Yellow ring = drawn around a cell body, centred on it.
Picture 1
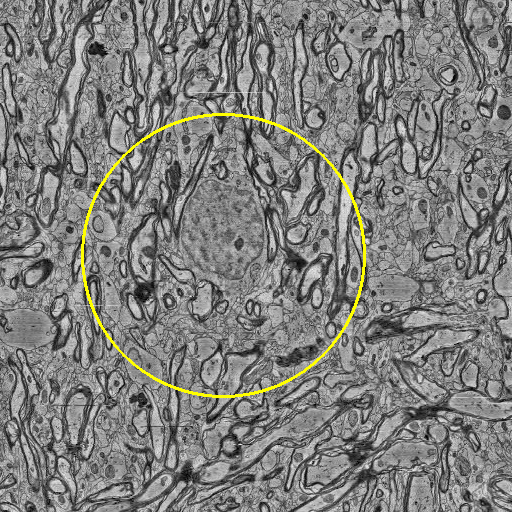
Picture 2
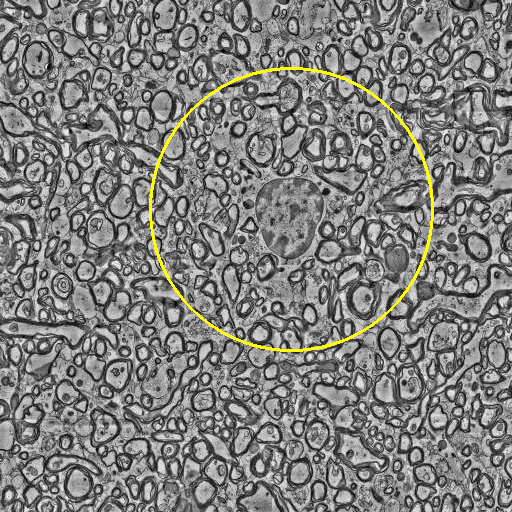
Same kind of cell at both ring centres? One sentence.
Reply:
No, they are two kinds of cell.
